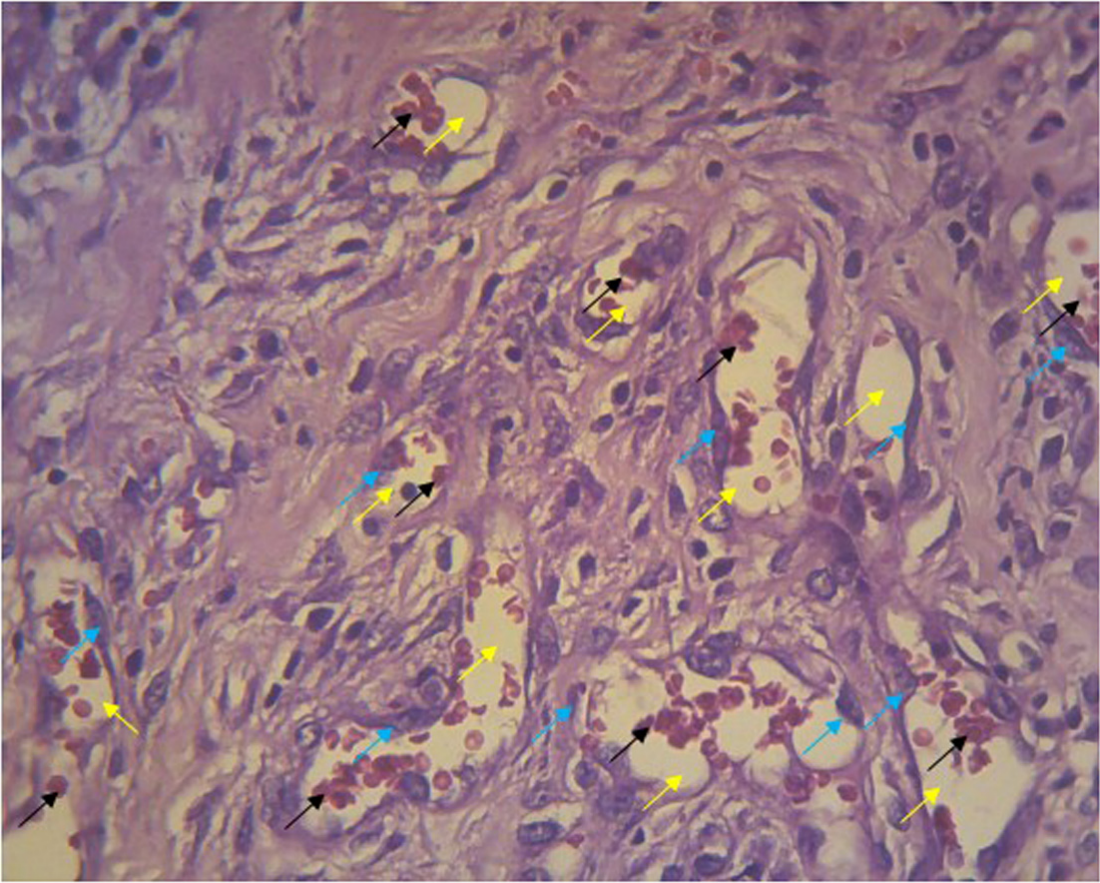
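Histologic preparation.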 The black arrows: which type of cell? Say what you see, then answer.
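They lie in clusters inside pale open spaces.
Erythrocytes.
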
